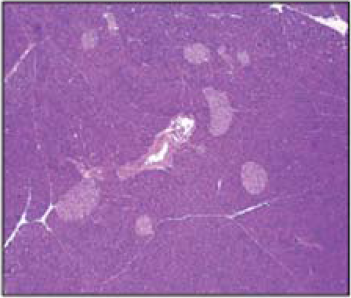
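Pancreas with densely packed purple-staining exocrine acinar tissue filling the field. Several pale pink, rounded to oval islets of varying size lie scattered within the acini, some clustered near a central branching duct or vessel. Thin white septa and vessel spaces run through the parenchyma.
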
